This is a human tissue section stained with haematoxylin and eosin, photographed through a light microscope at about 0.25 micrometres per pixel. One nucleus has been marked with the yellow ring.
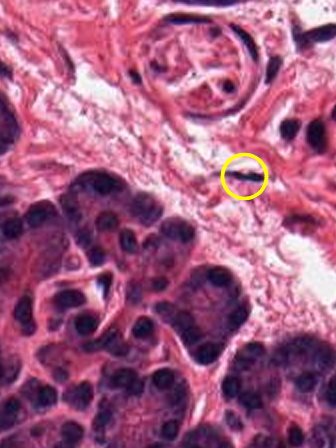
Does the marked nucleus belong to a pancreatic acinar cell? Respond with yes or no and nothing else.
no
